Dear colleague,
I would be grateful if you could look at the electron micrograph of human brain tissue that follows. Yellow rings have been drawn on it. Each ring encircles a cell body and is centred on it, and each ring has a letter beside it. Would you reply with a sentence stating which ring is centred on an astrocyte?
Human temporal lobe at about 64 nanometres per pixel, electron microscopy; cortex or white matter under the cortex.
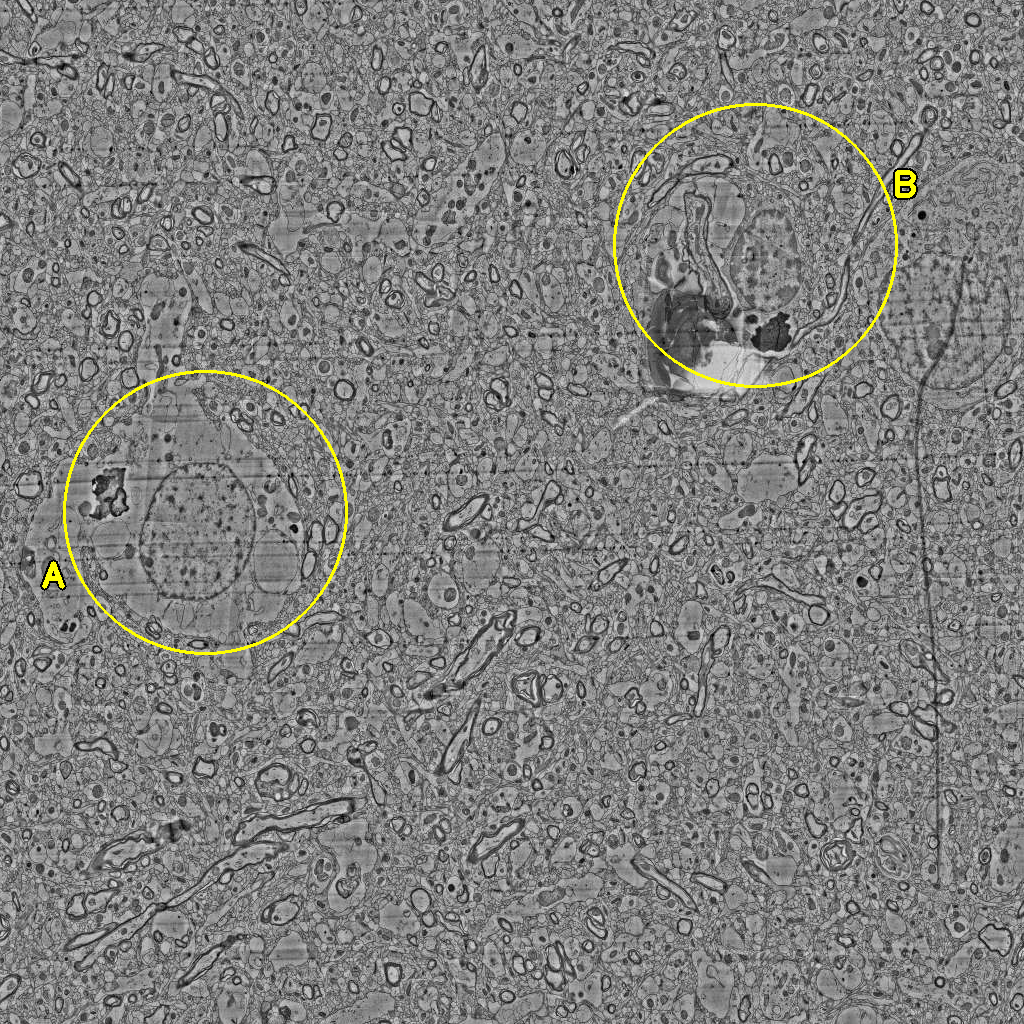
The ring centred on it is ring A.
